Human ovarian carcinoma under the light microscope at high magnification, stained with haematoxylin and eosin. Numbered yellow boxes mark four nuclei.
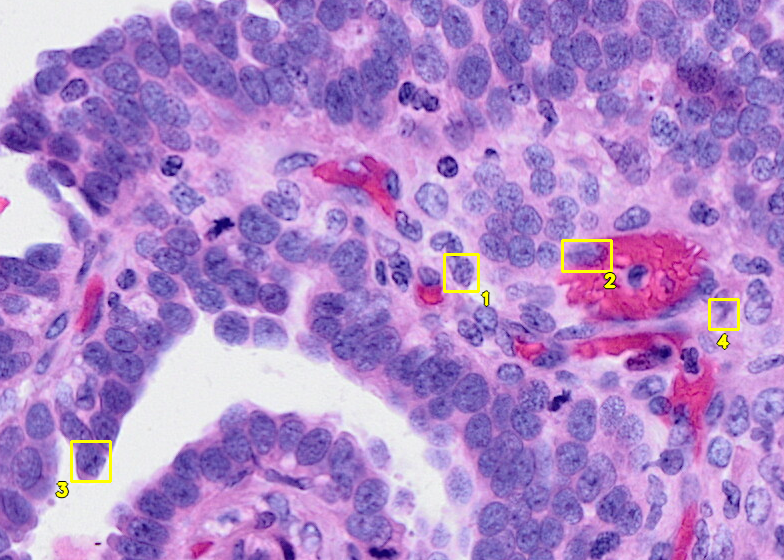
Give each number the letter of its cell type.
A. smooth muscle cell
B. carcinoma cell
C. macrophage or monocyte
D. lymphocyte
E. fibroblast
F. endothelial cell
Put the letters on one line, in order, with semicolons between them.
C; F; B; E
